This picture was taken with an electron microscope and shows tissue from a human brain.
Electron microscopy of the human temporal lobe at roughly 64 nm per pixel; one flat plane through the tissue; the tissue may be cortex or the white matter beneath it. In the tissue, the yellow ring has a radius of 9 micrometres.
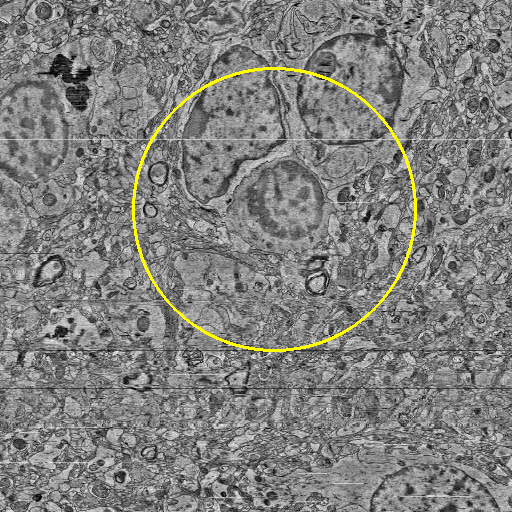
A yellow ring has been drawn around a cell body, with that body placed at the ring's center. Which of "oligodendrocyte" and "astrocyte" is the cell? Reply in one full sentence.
In this picture, an oligodendrocyte is the cell at the center of the yellow ring.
